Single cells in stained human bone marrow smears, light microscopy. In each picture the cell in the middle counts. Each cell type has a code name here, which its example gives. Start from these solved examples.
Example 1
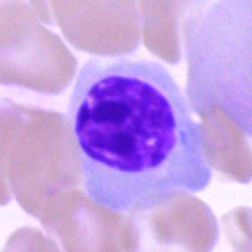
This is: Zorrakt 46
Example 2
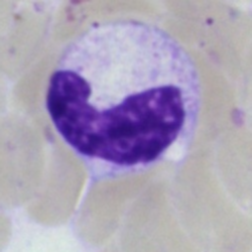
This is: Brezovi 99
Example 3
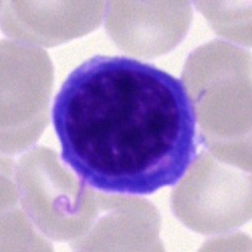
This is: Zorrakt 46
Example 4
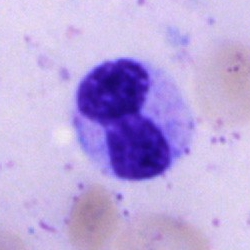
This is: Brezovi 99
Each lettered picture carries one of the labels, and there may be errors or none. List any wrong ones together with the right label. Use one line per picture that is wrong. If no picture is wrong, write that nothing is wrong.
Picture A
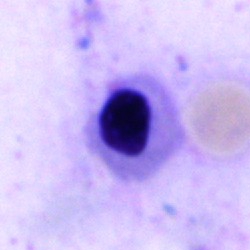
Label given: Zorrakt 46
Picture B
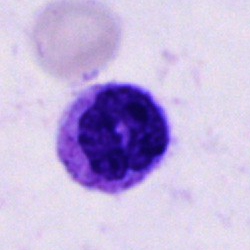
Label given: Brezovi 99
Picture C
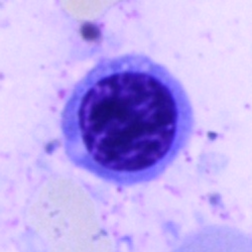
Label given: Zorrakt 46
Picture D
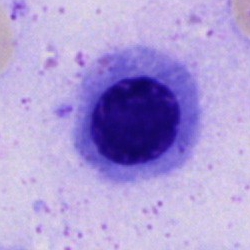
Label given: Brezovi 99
D: not Brezovi 99 but Zorrakt 46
